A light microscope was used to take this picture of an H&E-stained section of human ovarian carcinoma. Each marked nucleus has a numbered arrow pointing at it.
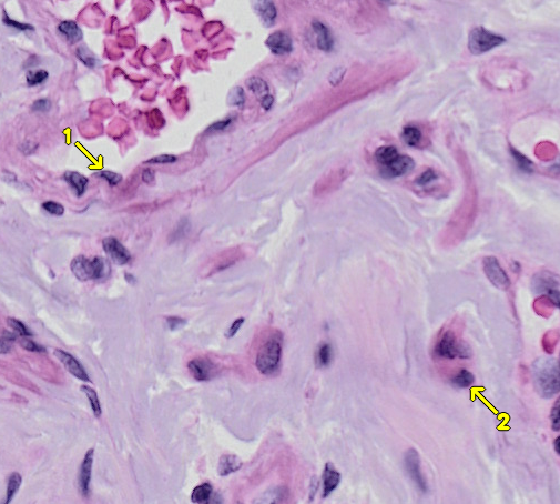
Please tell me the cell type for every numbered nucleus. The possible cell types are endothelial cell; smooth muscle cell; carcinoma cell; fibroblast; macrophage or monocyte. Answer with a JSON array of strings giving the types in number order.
["endothelial cell", "smooth muscle cell"]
